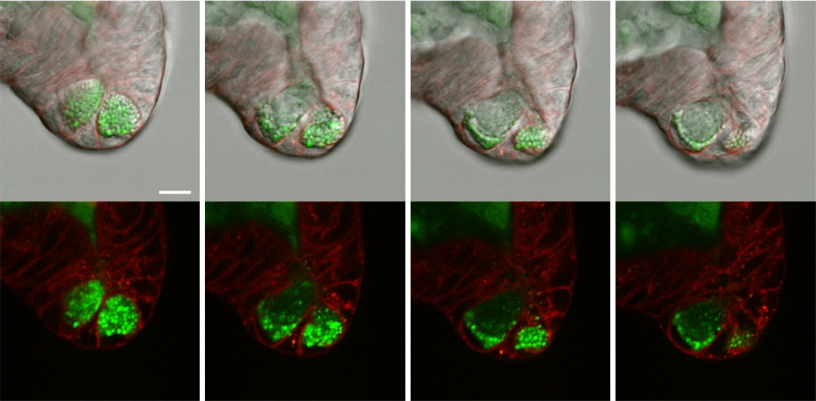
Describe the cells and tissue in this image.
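The tip of an intestinal crypt-like epithelial bud is shown as a time series, each frame as a grey transmitted-light image with overlay above and a fluorescence image below. Two large rounded Paneth cells sit side by side at the base of the bud, their cytoplasm densely filled with round green granules that look coarse and refractile in the grey image. The surrounding epithelial cells are tall and columnar, outlined by thin red membranes, and are arranged around a narrow central lumen running up from the Paneth cells. Across the frames the green granular content of the two Paneth cells becomes smaller and less dense, most clearly in the right-hand cell.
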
